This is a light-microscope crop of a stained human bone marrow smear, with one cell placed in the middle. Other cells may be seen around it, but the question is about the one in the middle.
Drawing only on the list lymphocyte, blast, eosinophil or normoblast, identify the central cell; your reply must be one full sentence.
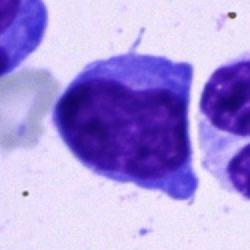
The cell at the central position in this crop is a blast.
